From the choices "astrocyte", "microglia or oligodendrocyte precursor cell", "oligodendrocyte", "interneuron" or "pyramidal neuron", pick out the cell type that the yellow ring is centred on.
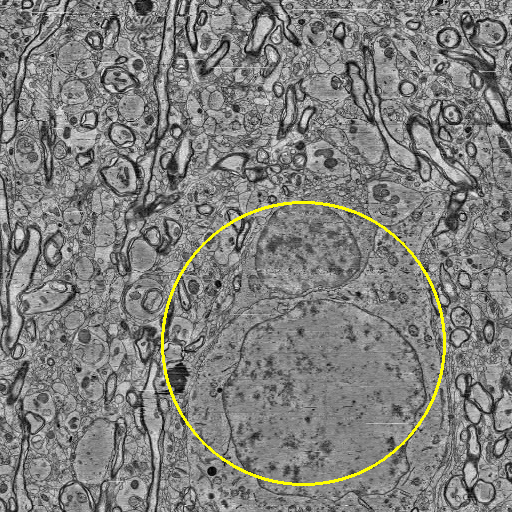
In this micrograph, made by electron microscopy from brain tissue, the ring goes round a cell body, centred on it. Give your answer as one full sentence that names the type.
The yellow ring is centred on a pyramidal neuron, whose cell body it encircles in the picture.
